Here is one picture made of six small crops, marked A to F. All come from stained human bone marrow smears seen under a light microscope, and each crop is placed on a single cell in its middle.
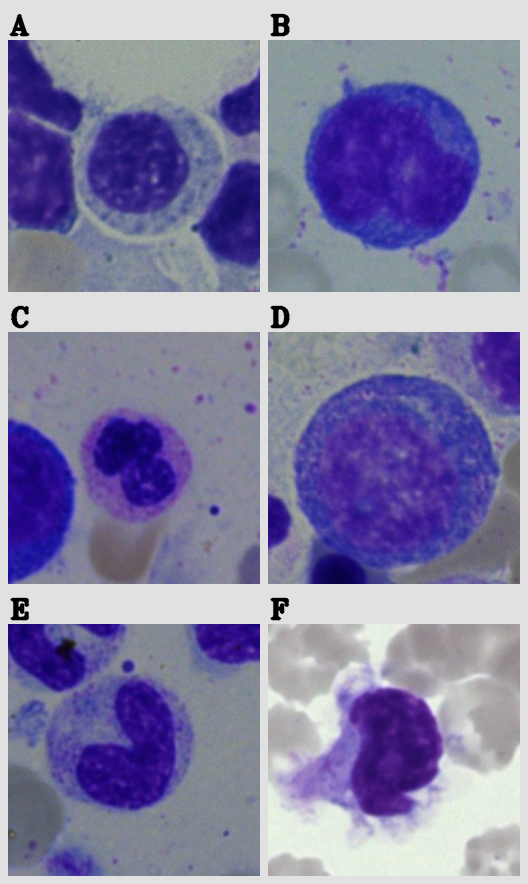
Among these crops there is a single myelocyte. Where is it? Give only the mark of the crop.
A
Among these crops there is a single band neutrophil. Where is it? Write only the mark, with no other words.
E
